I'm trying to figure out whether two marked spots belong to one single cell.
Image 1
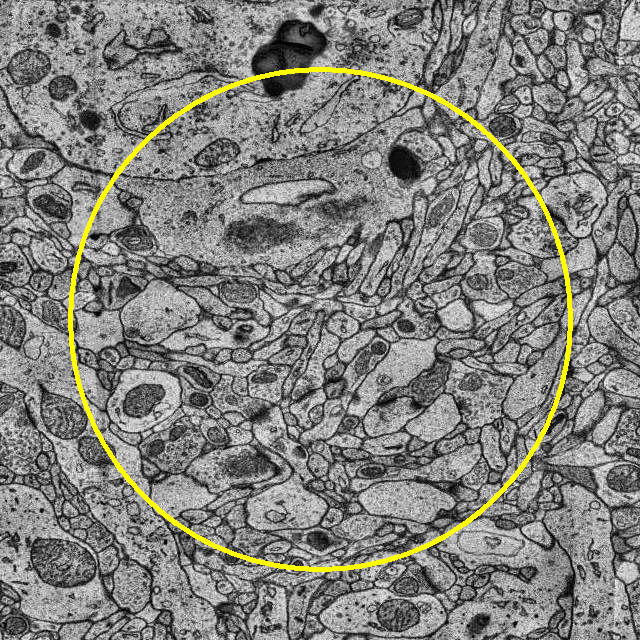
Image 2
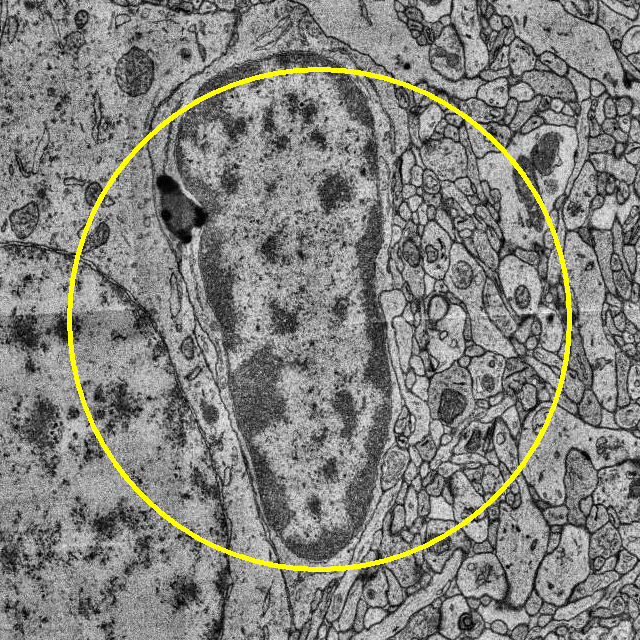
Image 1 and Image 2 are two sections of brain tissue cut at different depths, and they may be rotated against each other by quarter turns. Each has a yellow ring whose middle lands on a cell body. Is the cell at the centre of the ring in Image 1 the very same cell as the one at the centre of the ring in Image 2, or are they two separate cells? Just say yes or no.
yes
